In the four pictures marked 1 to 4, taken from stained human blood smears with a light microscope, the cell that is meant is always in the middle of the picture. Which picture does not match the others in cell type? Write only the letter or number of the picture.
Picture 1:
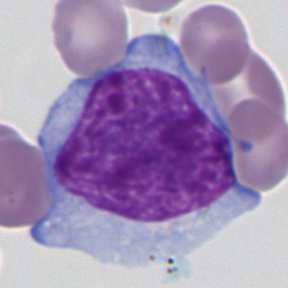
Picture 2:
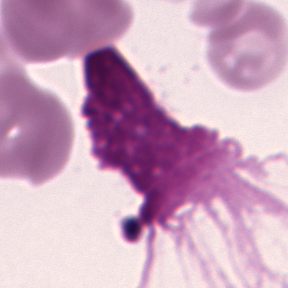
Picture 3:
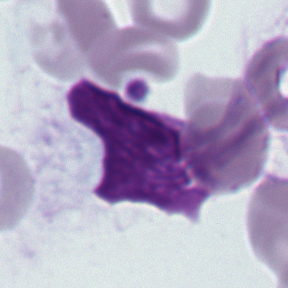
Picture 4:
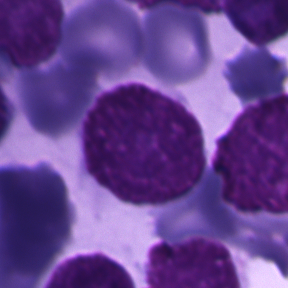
1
